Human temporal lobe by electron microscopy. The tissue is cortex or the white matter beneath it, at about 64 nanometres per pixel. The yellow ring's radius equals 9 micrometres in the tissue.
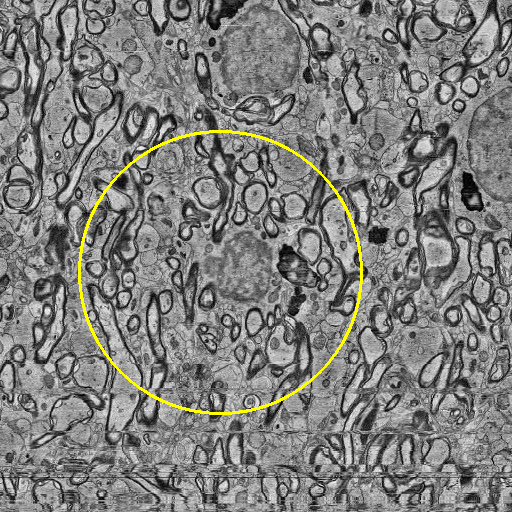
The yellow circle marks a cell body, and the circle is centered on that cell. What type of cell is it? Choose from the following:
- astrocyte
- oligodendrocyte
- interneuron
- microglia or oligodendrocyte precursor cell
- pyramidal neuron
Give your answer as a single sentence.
This cell body belongs to an oligodendrocyte.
